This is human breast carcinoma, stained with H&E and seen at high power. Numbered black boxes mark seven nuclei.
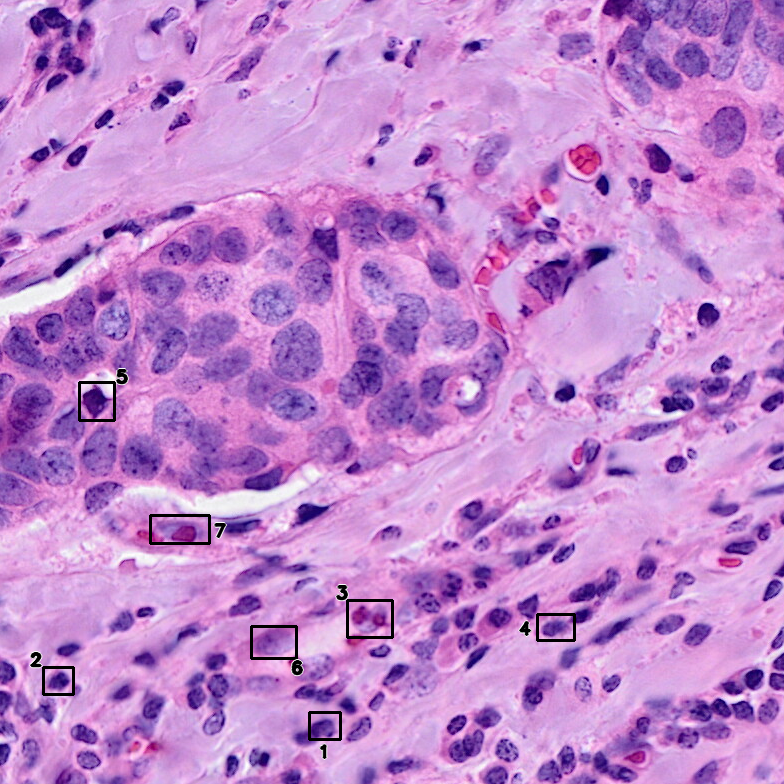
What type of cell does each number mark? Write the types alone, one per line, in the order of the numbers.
lymphocyte
lymphocyte
endothelial cell
lymphocyte
carcinoma cell
endothelial cell
endothelial cell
